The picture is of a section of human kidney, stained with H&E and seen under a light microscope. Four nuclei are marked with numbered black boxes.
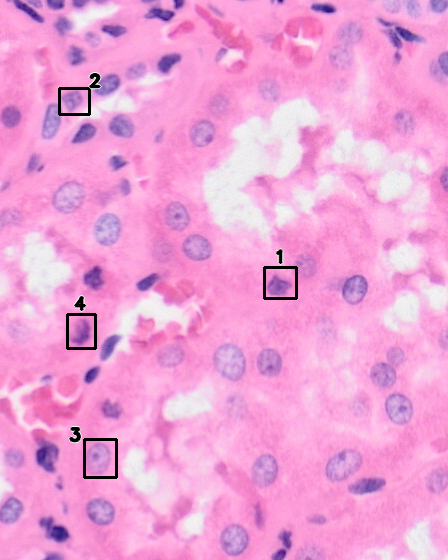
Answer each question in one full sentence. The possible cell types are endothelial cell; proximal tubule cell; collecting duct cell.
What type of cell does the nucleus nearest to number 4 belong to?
Closest to number 4 lies the nucleus of an endothelial cell.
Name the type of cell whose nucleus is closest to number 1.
The cell nearest to number 1 is a proximal tubule cell.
